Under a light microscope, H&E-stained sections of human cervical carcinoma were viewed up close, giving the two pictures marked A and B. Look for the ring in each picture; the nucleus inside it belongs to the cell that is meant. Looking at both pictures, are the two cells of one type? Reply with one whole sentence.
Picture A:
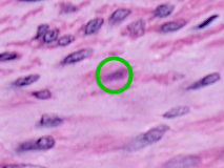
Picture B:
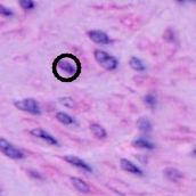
Yes, both are smooth muscle cells.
